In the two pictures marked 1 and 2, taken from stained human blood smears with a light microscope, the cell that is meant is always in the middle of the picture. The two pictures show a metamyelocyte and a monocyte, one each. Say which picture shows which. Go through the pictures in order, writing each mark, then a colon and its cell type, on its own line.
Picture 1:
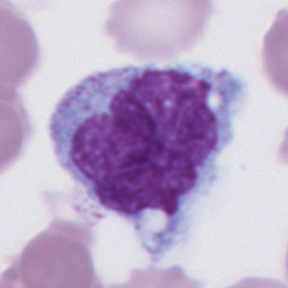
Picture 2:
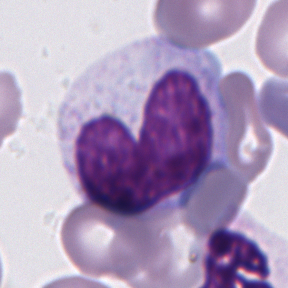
1: monocyte
2: metamyelocyte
